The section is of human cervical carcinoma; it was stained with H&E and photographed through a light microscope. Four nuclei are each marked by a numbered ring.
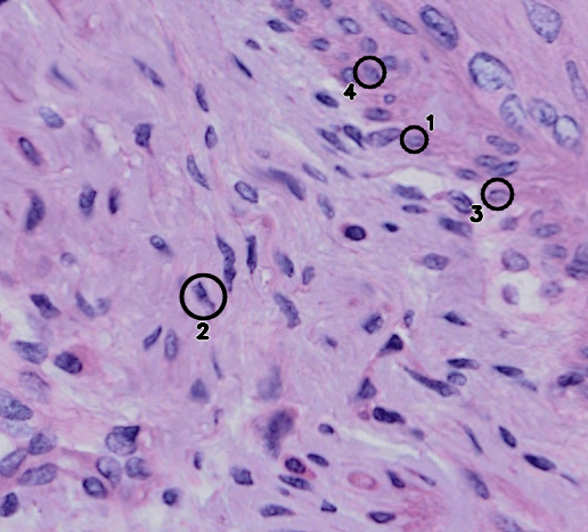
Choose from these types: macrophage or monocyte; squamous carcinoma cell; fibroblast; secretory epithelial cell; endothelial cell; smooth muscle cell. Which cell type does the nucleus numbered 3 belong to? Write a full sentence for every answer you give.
The cell that carries the label 3 is a smooth muscle cell.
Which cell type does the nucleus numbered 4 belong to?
Denoted by the label 4 in the section is a smooth muscle cell.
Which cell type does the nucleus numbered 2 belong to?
That cell with number 2 is a fibroblast.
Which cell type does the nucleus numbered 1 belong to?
In this section, the cell tagged 1 is a smooth muscle cell.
